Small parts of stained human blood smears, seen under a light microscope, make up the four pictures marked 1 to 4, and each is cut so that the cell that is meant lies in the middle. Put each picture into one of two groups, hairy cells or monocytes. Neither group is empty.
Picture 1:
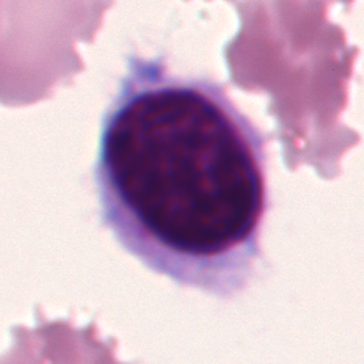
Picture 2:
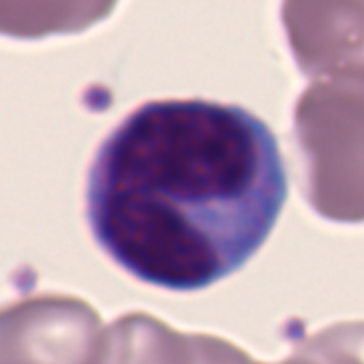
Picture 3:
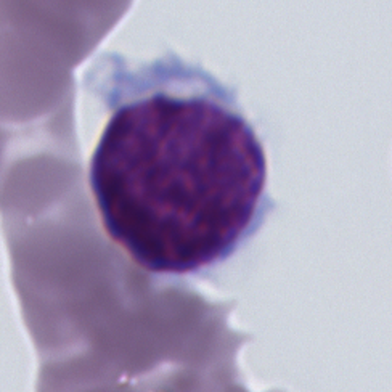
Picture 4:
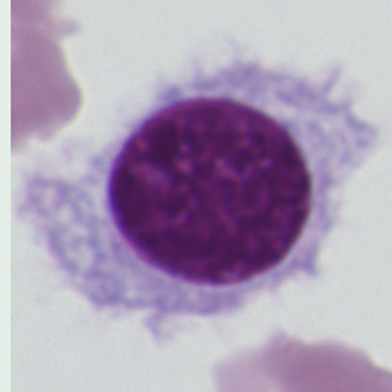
1: hairy cell
2: monocyte
3: hairy cell
4: hairy cell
